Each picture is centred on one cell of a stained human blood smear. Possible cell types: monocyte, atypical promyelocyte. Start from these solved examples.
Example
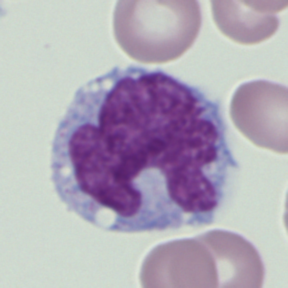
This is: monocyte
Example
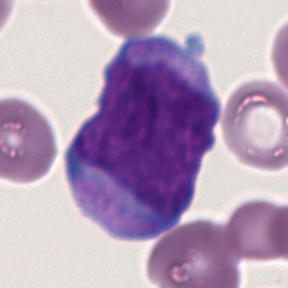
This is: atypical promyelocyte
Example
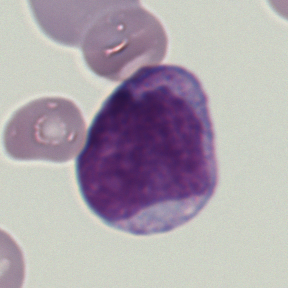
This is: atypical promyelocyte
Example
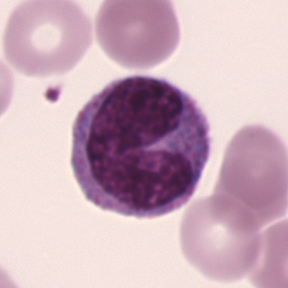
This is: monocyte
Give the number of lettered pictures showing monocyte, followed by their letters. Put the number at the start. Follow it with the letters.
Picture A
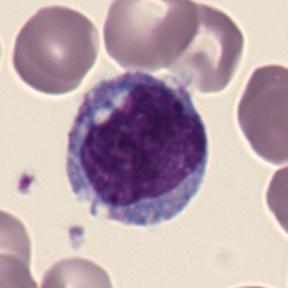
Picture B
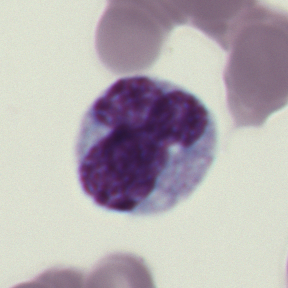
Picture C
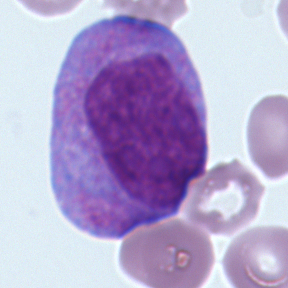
2, namely A, B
